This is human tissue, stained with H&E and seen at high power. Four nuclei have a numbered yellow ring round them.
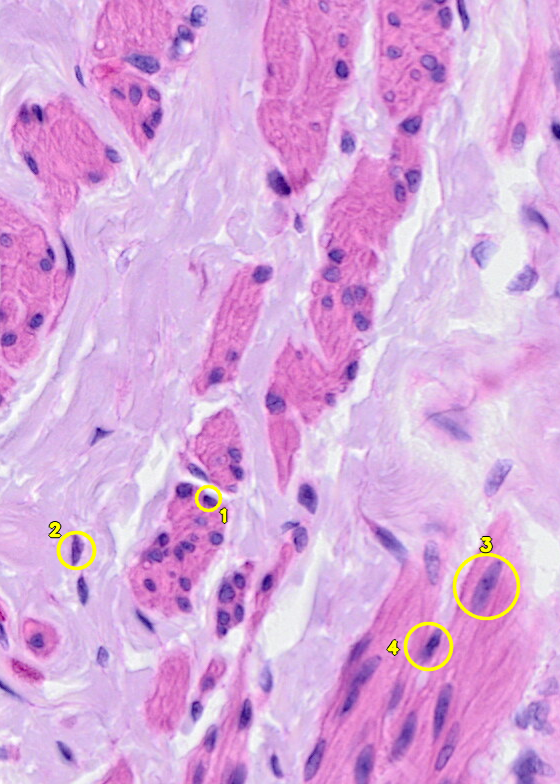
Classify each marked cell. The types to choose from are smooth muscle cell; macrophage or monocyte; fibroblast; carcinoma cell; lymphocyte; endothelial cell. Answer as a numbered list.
1. smooth muscle cell
2. fibroblast
3. smooth muscle cell
4. smooth muscle cell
